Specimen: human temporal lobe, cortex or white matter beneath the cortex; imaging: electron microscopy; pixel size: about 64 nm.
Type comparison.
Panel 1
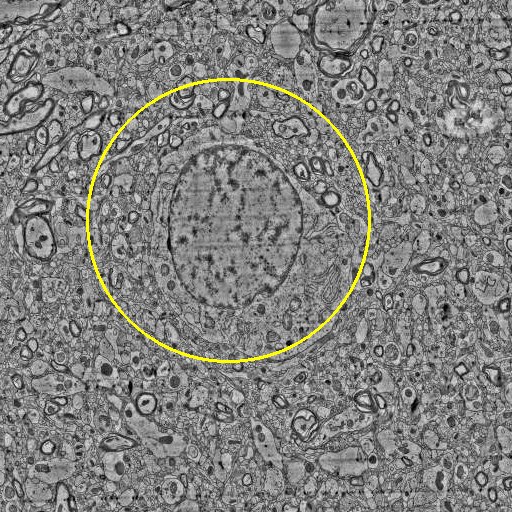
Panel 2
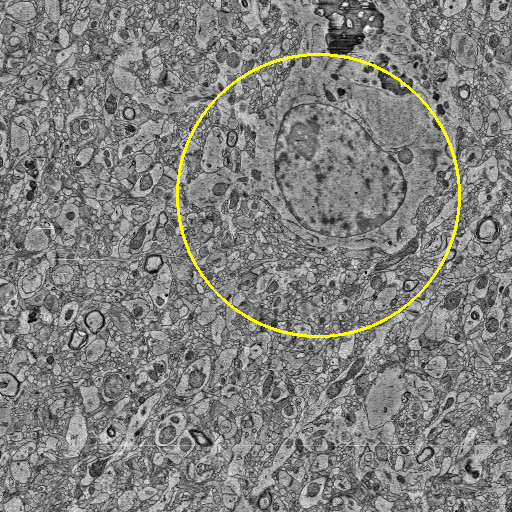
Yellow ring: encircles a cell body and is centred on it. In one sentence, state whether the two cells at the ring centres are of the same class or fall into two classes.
In these panels, the two cells at the ring centres fall into two classes.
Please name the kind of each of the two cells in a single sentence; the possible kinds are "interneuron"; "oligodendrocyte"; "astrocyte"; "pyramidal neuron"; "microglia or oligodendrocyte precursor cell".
In the first picture the ring is centred on an interneuron, and in the second on an astrocyte.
